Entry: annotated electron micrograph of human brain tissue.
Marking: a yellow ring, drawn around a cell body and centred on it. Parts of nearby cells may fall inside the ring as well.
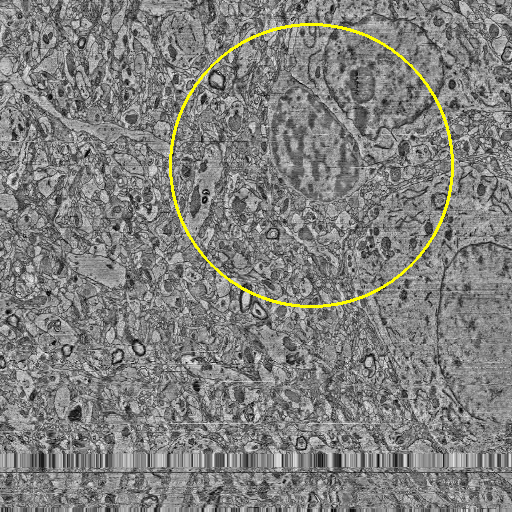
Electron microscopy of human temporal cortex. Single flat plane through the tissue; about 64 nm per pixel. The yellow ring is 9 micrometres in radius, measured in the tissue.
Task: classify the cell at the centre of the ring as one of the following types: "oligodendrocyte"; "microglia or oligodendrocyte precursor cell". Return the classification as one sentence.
The marked cell is classified as an oligodendrocyte.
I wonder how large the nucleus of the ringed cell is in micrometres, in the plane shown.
The nucleus measures about 8 by 5 micrometres in this plane.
